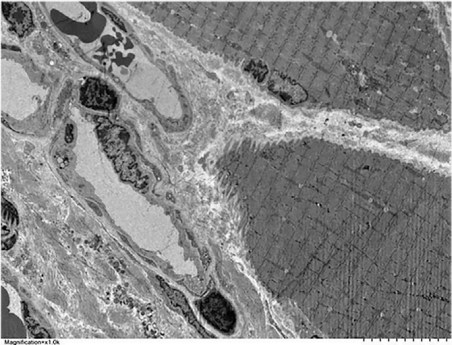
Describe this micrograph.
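Skeletal muscle fibers with regularly banded myofibrils border a strip of interstitial connective tissue. Within the interstitium lie small capillaries whose lumens contain dense red blood cells, lined by cells with elongated dark nuclei, surrounded by loose fibrillar material.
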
